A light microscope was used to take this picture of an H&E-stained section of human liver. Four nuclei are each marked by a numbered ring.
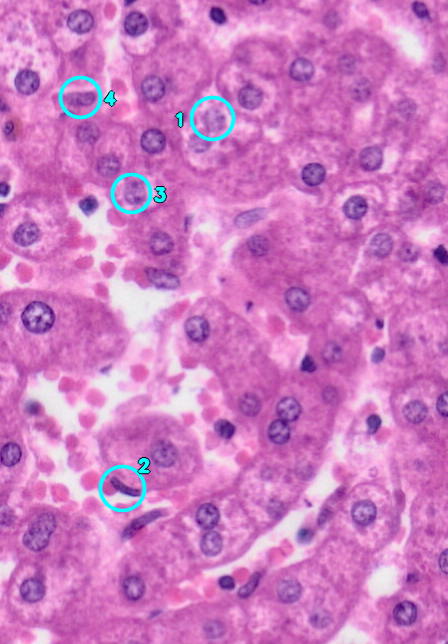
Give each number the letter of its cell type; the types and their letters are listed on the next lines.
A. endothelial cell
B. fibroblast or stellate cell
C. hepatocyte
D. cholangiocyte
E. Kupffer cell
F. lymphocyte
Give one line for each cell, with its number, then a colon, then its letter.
1: C
2: A
3: C
4: E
